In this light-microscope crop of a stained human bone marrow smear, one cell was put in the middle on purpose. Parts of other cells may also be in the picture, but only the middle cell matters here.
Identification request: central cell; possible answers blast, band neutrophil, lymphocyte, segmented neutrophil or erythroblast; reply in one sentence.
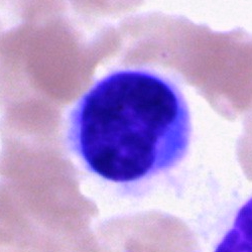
The cell the crop is centered on is a lymphocyte.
